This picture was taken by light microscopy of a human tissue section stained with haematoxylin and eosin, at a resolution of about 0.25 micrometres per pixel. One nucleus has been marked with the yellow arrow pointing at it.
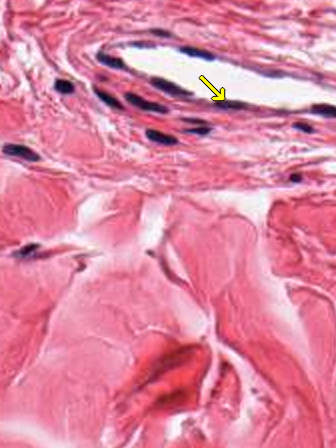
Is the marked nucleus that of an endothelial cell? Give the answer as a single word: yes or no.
yes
